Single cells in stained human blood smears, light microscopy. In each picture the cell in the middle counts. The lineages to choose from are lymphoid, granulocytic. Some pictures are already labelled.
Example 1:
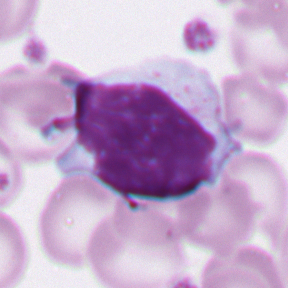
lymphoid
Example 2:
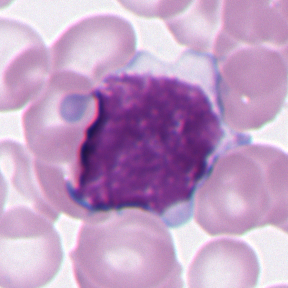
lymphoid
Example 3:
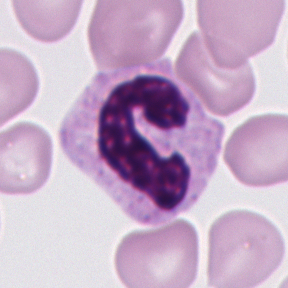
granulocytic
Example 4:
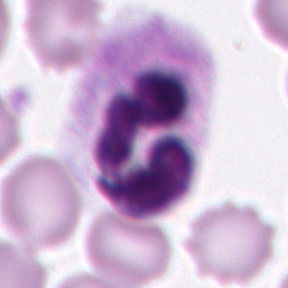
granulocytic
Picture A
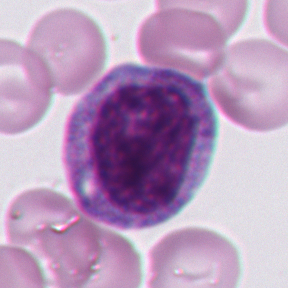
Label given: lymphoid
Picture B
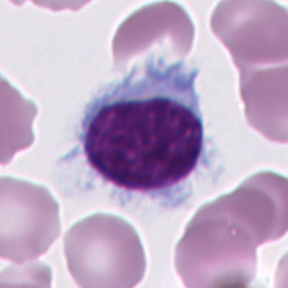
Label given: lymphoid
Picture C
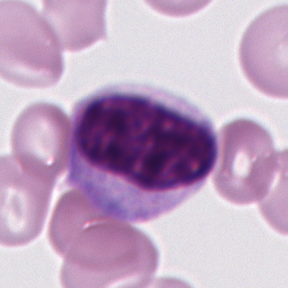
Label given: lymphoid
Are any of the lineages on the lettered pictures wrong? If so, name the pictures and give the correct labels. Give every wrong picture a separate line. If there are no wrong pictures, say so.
A should be granulocytic, not lymphoid
C should be granulocytic, not lymphoid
